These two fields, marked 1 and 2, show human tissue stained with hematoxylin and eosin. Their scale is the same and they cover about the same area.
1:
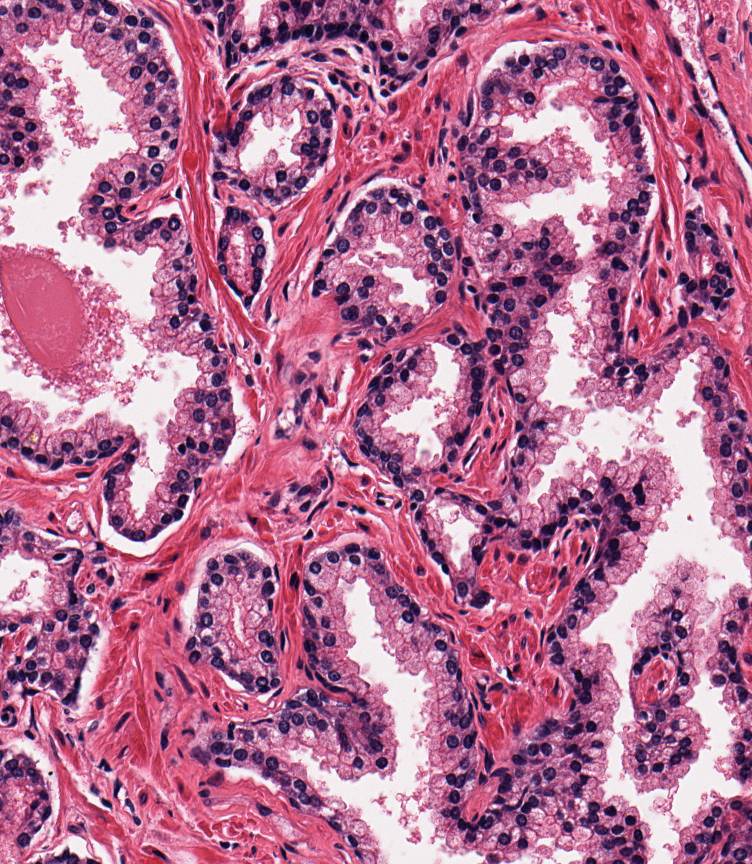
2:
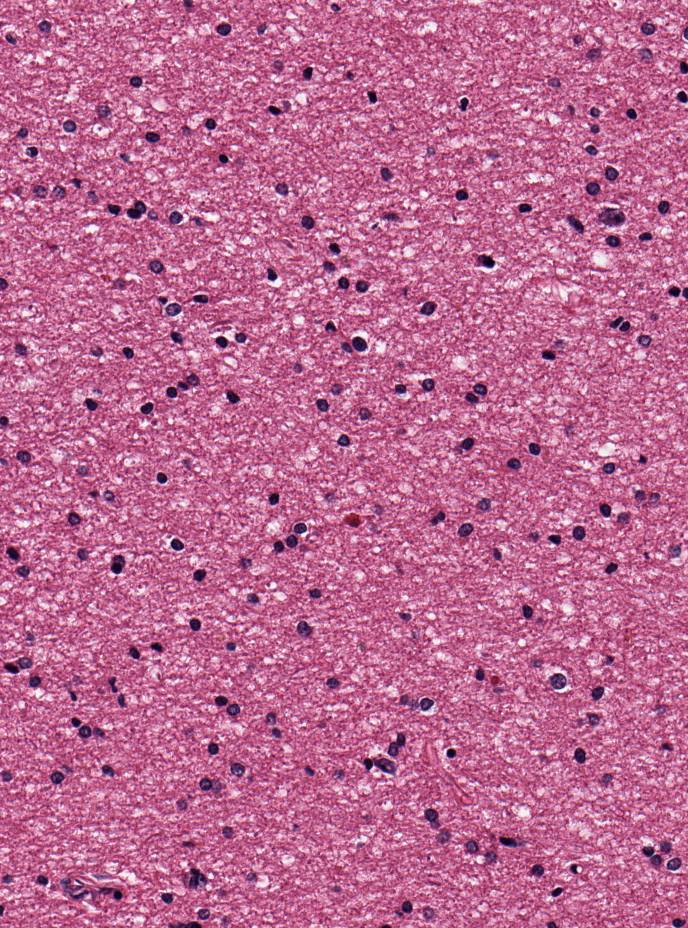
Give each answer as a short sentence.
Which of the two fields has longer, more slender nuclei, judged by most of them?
On the whole the nuclei of field 1 are more drawn out than those of field 2.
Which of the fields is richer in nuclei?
Field 1 holds more nuclei than field 2.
